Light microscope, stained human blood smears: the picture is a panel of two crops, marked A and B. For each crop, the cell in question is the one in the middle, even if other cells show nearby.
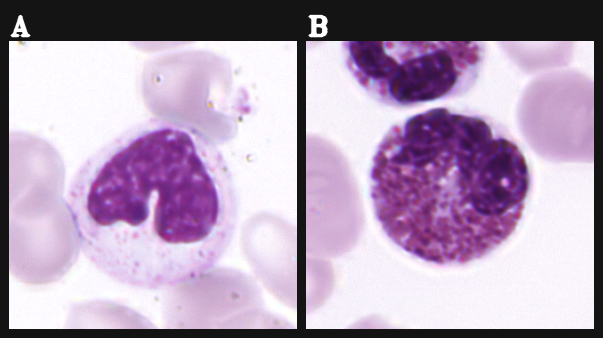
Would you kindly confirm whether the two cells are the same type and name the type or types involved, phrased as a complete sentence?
No, in fact crop A shows a band neutrophil, and crop B shows an eosinophil.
